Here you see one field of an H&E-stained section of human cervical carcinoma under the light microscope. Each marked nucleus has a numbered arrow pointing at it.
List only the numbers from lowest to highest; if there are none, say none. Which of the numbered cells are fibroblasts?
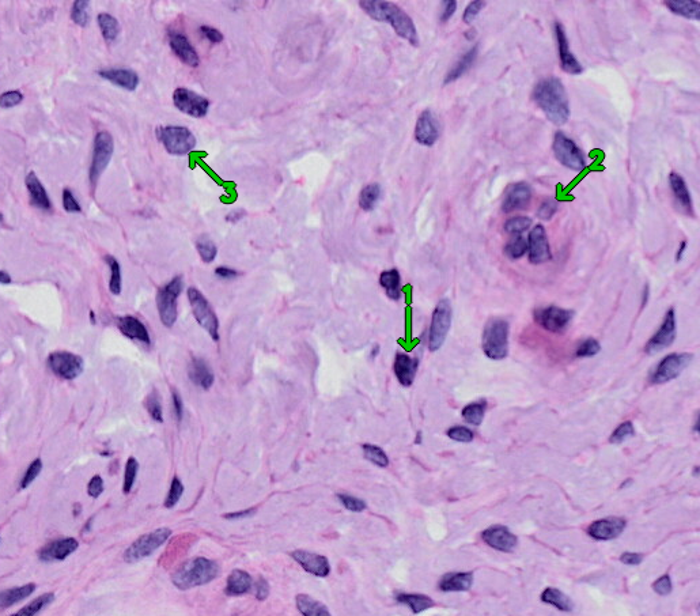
3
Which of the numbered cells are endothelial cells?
2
